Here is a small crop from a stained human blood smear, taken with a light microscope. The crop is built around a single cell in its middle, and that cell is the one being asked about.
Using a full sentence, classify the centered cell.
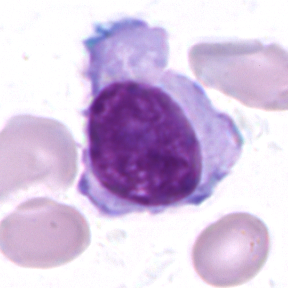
The cell of interest, located centrally, is a plasma cell.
